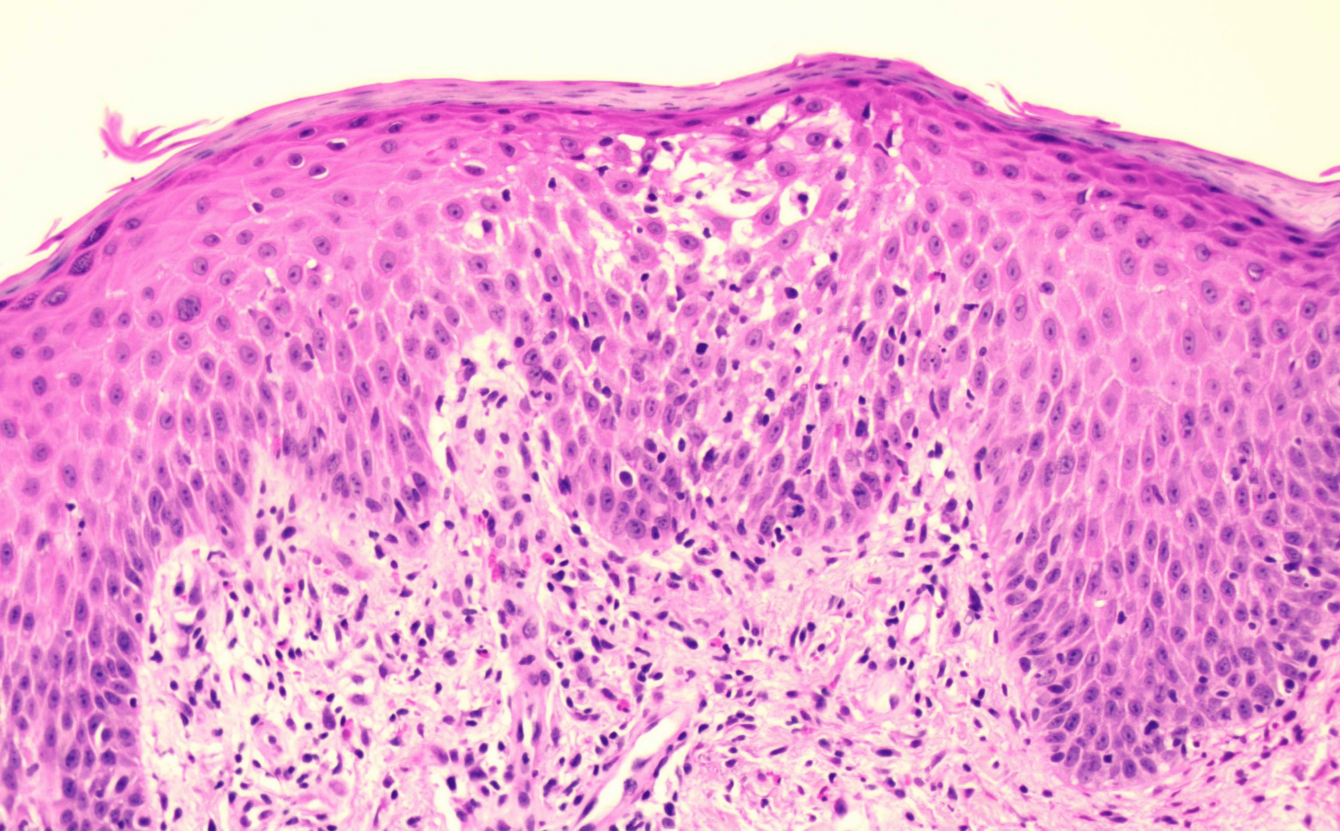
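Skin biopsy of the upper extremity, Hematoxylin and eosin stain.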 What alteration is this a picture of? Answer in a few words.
Spongiotic zone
